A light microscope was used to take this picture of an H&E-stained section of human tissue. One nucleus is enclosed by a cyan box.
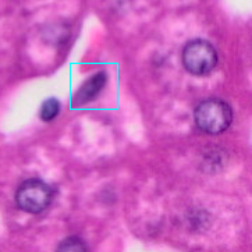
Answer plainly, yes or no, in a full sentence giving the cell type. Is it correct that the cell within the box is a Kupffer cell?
Yes, a Kupffer cell is what the cell within the box is in this section.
